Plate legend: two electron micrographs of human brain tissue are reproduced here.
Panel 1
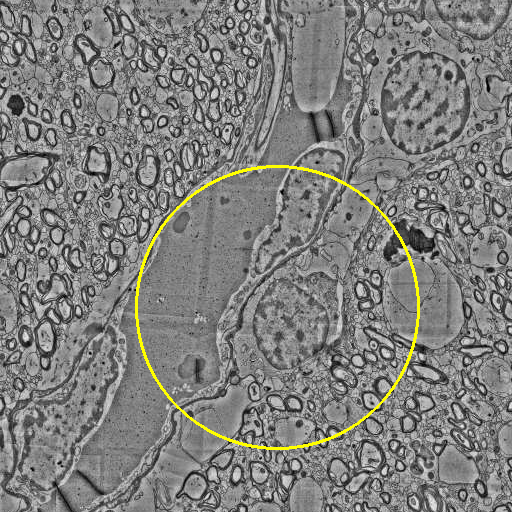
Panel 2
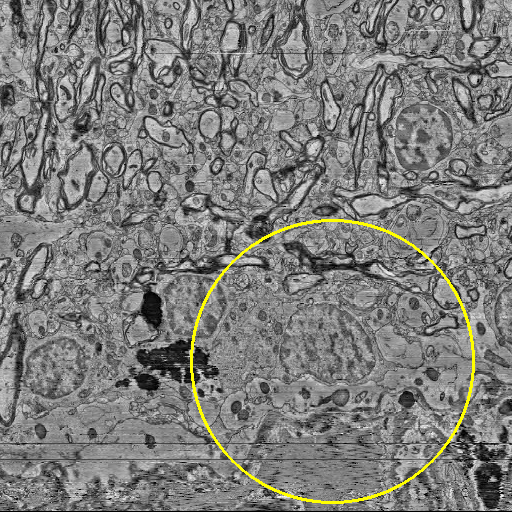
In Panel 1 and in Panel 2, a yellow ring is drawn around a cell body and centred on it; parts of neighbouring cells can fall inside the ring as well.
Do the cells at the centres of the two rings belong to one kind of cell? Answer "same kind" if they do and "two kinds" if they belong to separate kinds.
same kind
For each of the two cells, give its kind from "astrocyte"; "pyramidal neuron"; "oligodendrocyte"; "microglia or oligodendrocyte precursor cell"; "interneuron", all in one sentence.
The first and the second cell are each an oligodendrocyte.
